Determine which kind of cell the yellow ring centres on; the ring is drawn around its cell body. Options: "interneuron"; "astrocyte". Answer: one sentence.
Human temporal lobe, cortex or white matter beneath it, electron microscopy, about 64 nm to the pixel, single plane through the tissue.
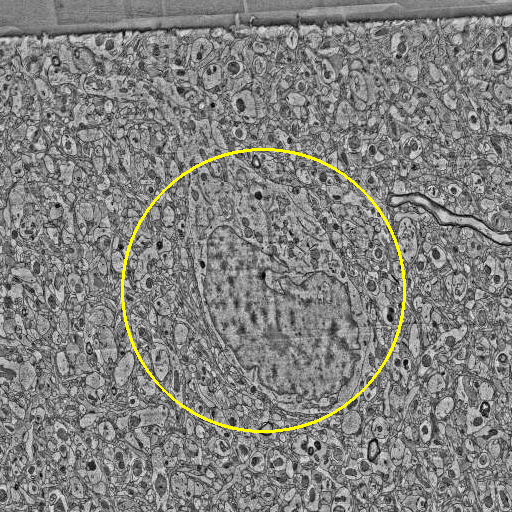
The ring centres on an interneuron.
